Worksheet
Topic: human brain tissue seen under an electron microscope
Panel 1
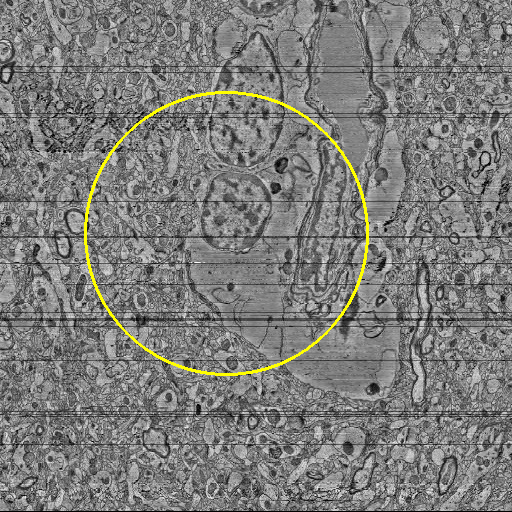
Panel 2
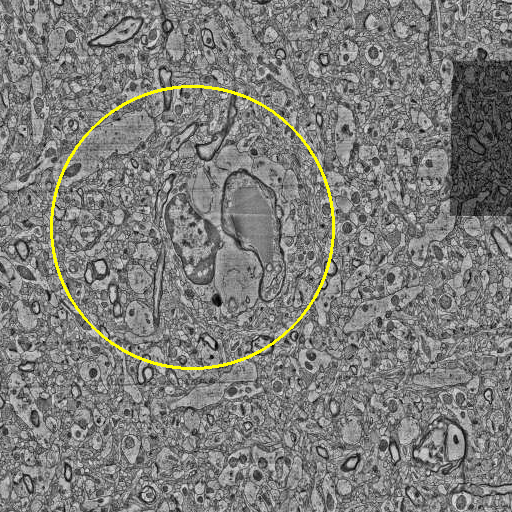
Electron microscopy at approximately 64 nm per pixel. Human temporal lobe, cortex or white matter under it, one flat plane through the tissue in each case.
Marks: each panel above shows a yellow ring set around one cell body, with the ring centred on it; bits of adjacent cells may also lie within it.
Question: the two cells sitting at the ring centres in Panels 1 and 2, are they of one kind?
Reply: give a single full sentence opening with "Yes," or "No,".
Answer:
Yes, the two ring-centre cells in Panel 1 and Panel 2 are of one kind.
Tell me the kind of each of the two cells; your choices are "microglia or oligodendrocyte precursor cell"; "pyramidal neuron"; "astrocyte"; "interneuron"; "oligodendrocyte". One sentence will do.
The cell in the first picture is a microglial cell or oligodendrocyte precursor cell, and so is the one in the second.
